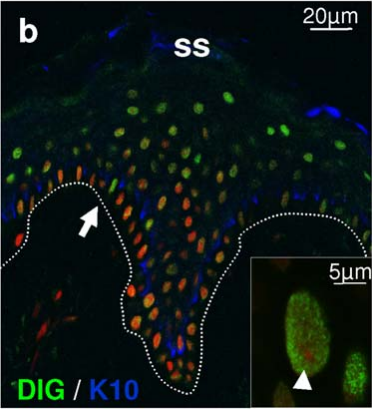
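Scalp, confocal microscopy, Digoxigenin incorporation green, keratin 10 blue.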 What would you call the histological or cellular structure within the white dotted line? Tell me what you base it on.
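Basement membrane. The dotted line runs along the lower edge of the layered epithelium. Below it lies dermis with scattered cells.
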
